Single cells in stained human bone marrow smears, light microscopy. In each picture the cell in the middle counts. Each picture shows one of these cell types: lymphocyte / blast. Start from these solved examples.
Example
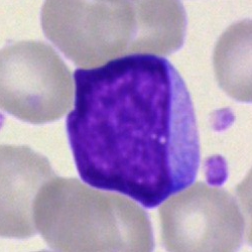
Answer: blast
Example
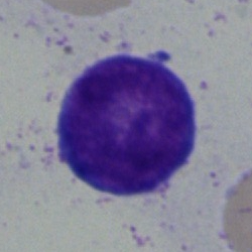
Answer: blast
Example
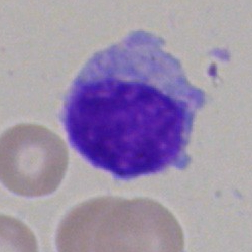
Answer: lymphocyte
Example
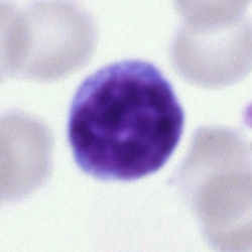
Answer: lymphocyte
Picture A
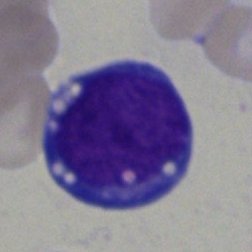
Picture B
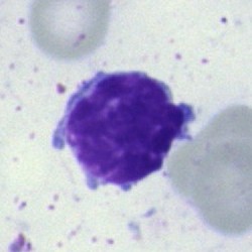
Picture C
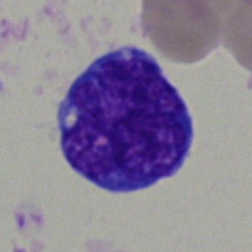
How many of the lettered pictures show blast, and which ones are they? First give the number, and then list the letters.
2, namely A, C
